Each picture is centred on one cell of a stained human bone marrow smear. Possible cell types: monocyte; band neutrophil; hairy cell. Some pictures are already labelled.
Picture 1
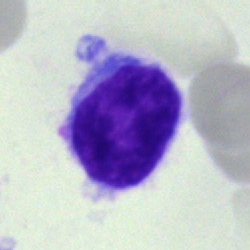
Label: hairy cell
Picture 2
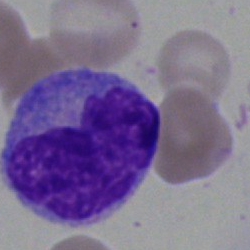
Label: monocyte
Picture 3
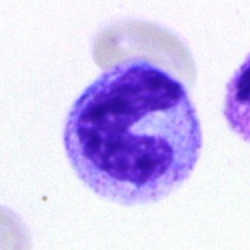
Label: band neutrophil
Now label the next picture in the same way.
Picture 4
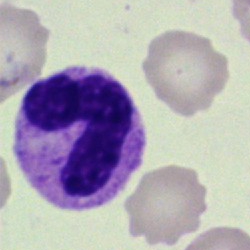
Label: band neutrophil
